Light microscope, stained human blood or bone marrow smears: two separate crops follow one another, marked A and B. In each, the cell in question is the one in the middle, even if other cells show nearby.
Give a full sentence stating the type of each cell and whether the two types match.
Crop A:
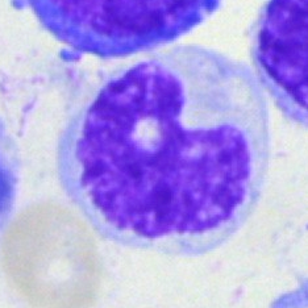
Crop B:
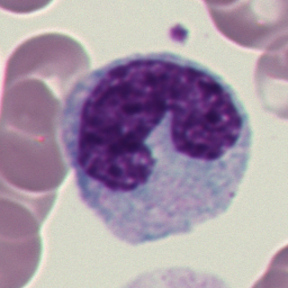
Yes, it is monocytes that occupy the middle of both crops.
